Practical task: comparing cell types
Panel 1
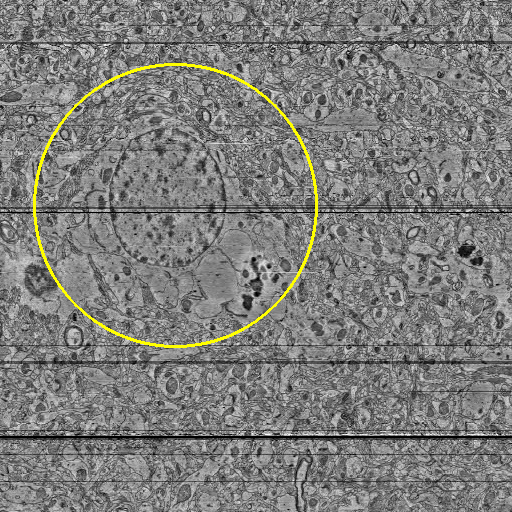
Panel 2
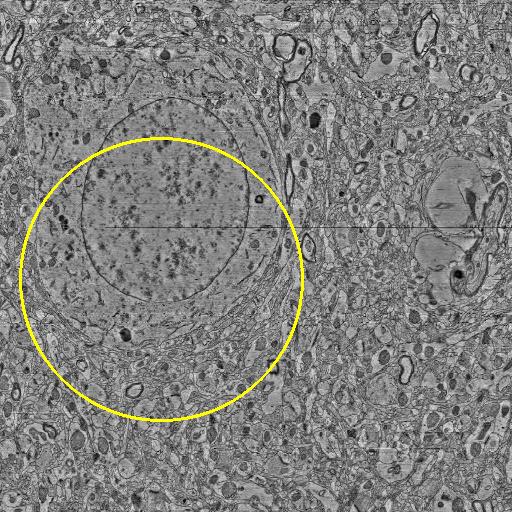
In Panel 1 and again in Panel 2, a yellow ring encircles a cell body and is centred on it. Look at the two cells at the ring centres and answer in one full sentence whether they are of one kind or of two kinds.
The two cells sitting at the ring centres of Panels 1 and 2 are of two kinds.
